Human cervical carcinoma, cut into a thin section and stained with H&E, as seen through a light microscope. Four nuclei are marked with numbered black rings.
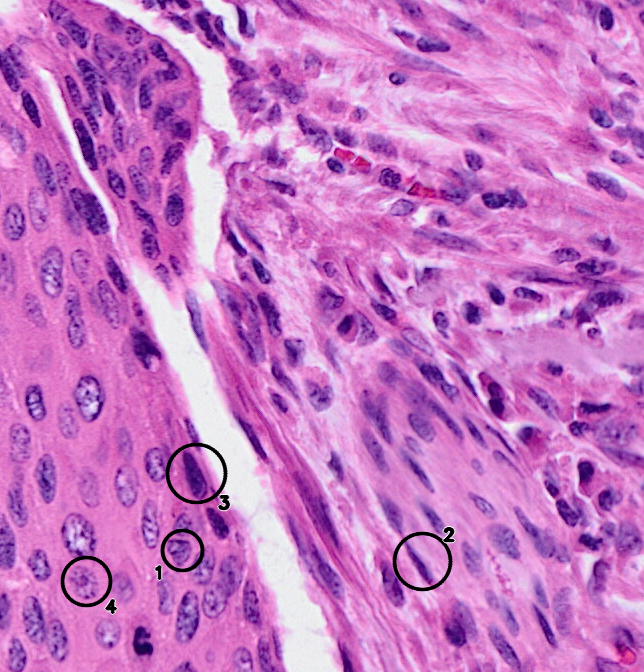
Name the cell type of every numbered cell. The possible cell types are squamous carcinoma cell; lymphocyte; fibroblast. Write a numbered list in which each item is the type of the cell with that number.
1. squamous carcinoma cell
2. fibroblast
3. squamous carcinoma cell
4. squamous carcinoma cell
